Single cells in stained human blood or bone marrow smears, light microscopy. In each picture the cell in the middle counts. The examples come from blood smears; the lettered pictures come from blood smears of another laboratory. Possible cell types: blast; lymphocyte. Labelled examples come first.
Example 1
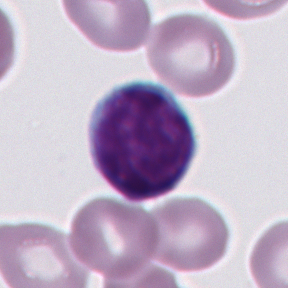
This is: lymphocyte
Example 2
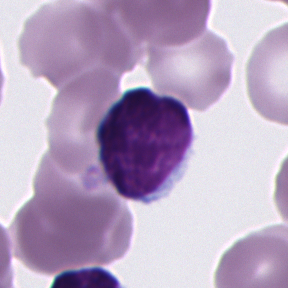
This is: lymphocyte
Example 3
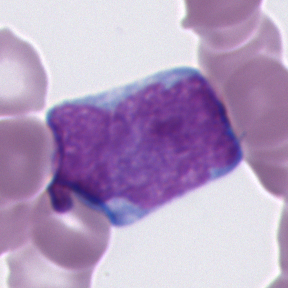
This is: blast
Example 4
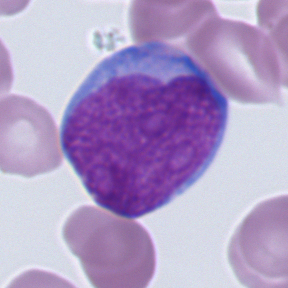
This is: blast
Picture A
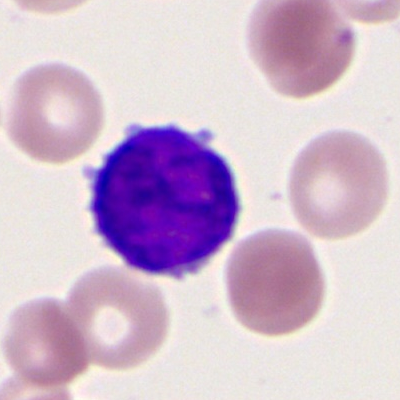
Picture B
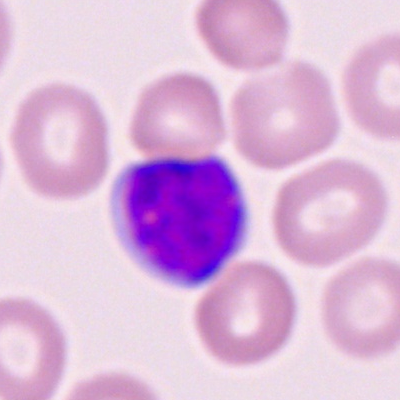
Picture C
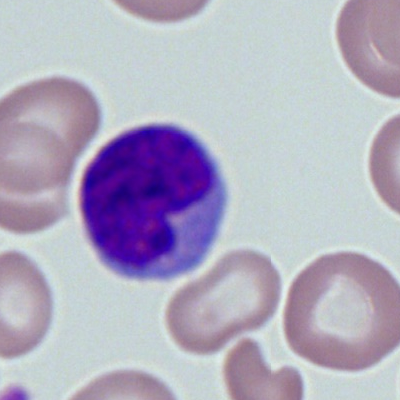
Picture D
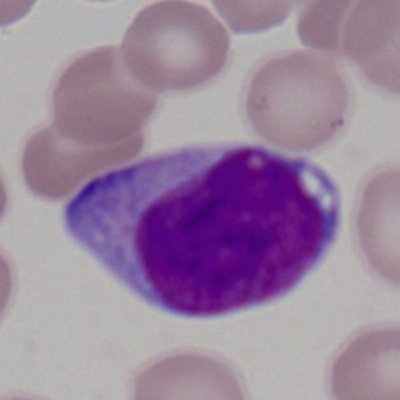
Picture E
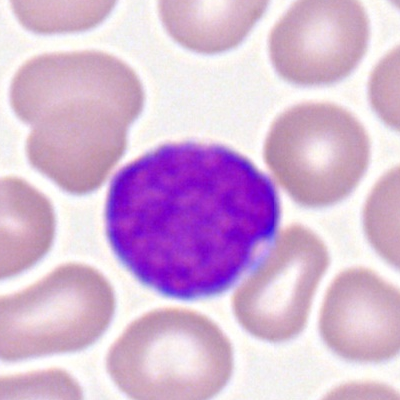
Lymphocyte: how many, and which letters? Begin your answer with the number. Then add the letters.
3: A, B, C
